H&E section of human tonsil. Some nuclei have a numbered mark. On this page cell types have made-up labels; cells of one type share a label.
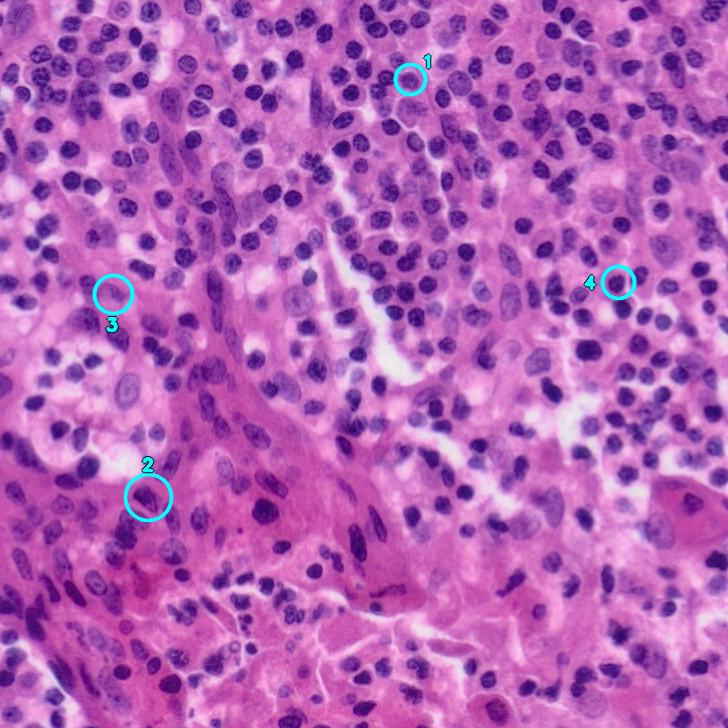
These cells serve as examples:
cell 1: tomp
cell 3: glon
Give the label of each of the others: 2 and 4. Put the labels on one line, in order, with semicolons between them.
glon; tomp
